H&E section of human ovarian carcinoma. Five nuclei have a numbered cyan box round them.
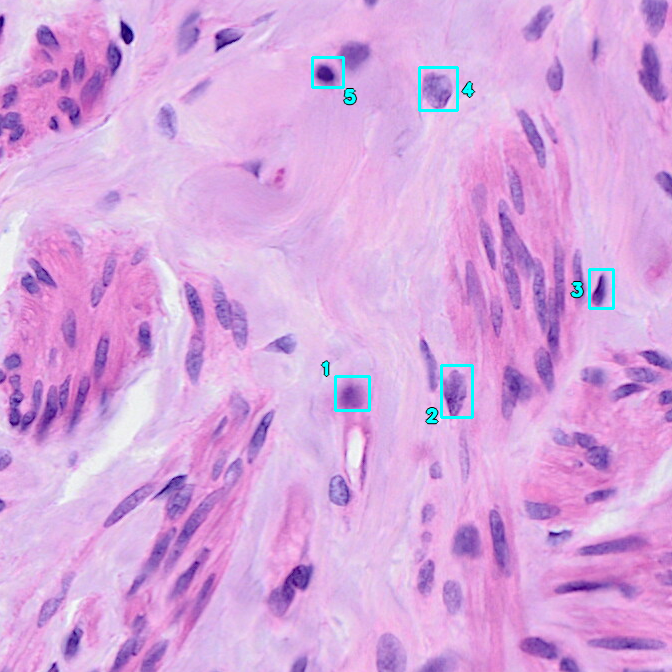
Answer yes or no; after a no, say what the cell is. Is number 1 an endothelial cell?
Yes.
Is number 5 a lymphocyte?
Yes.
